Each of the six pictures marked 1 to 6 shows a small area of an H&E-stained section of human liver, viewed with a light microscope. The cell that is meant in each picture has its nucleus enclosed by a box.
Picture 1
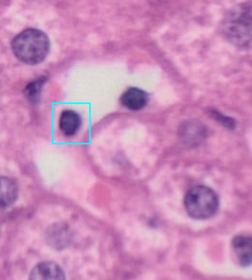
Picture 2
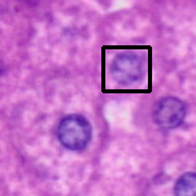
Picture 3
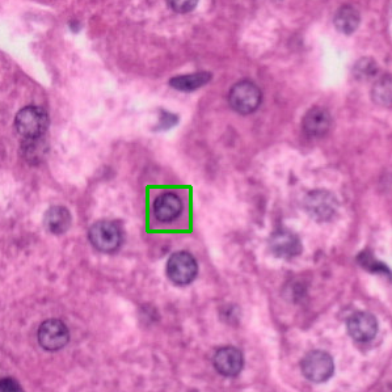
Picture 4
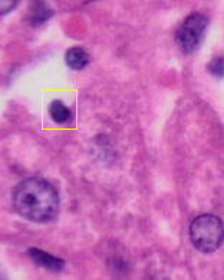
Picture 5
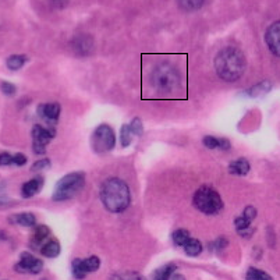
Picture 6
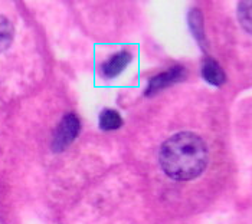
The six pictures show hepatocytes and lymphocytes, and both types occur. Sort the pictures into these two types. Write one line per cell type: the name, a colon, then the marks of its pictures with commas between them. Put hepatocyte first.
hepatocyte: 2, 3, 5
lymphocyte: 1, 4, 6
